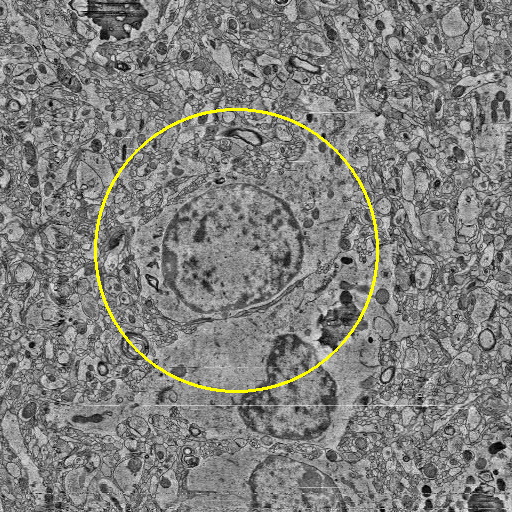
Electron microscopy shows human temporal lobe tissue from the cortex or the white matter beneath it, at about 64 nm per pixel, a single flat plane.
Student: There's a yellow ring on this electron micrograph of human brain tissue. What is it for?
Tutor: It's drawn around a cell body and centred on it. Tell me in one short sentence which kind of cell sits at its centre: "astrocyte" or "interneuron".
The cell at the centre of the ring is an astrocyte.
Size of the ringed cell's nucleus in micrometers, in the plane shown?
In this plane, approximately 9 micrometres across.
